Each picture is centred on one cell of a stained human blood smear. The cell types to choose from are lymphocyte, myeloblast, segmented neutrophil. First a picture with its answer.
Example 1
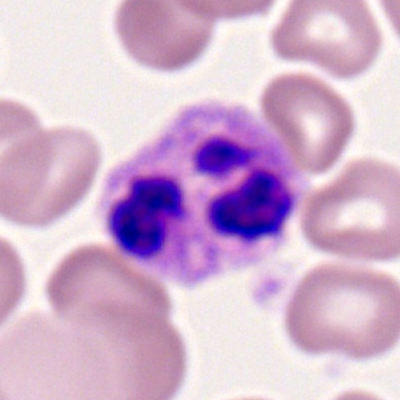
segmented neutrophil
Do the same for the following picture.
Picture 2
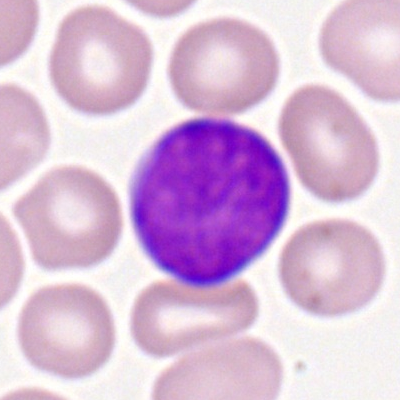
myeloblast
